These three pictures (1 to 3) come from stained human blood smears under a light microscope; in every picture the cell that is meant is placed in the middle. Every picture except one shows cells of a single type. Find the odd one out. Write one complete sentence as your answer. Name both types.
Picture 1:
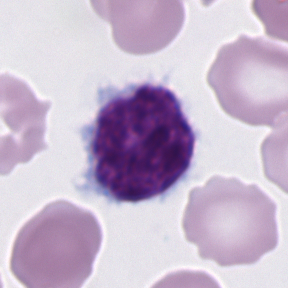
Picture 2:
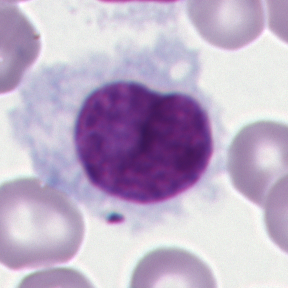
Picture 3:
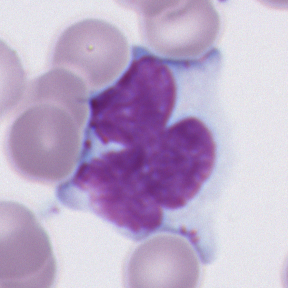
Picture 3 differs, because its cell is a large granular lymphocyte and the rest are hairy cells.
